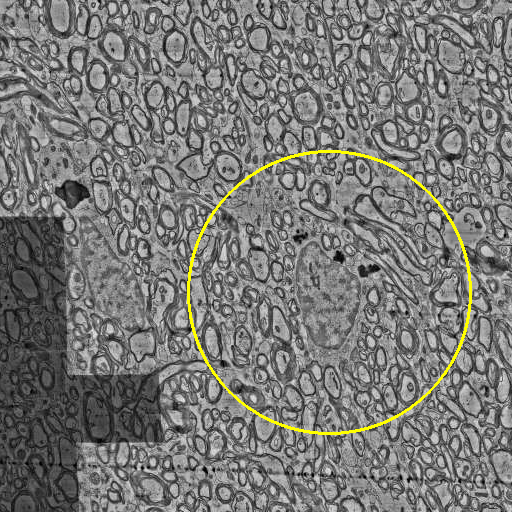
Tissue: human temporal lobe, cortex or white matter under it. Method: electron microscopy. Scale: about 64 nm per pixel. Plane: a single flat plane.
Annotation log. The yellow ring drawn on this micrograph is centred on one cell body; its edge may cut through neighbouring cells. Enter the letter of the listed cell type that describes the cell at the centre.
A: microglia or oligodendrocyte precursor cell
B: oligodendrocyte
B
